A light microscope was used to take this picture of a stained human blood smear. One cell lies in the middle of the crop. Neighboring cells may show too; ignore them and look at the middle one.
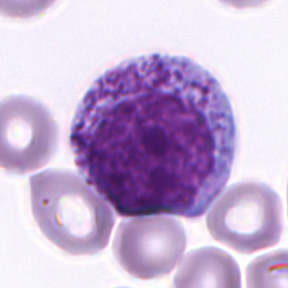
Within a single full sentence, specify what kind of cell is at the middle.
The cell of interest, located centrally, is a myelocyte.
